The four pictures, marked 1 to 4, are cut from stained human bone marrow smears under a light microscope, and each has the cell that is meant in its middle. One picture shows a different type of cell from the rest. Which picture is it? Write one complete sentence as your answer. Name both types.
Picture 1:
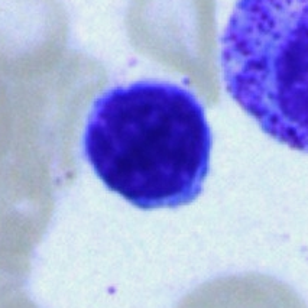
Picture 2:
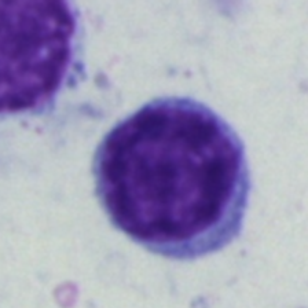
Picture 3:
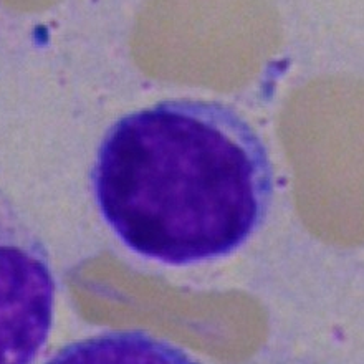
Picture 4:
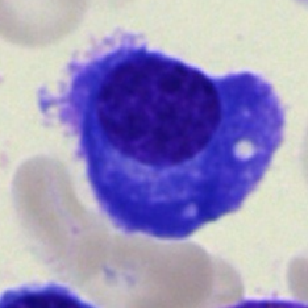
Picture 4 is the odd one out: it shows a plasma cell, while the others show lymphocytes.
